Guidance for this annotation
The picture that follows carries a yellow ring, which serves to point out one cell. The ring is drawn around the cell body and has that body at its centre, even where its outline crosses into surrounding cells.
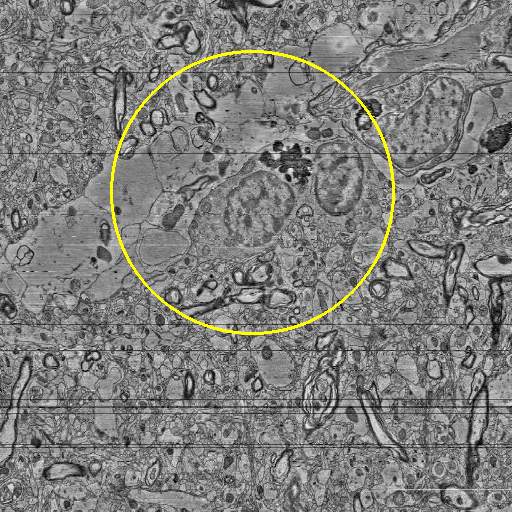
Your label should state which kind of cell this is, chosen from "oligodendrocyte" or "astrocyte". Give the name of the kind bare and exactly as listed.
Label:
oligodendrocyte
